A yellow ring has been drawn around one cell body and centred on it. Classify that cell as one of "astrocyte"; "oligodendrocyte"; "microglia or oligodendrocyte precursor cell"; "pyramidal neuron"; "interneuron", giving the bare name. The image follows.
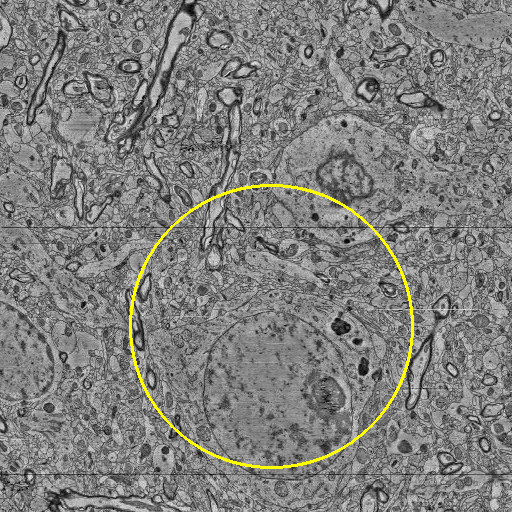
pyramidal neuron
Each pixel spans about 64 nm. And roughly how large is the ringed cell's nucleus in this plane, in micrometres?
About 12 by 9 micrometers for the nucleus, in this plane.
